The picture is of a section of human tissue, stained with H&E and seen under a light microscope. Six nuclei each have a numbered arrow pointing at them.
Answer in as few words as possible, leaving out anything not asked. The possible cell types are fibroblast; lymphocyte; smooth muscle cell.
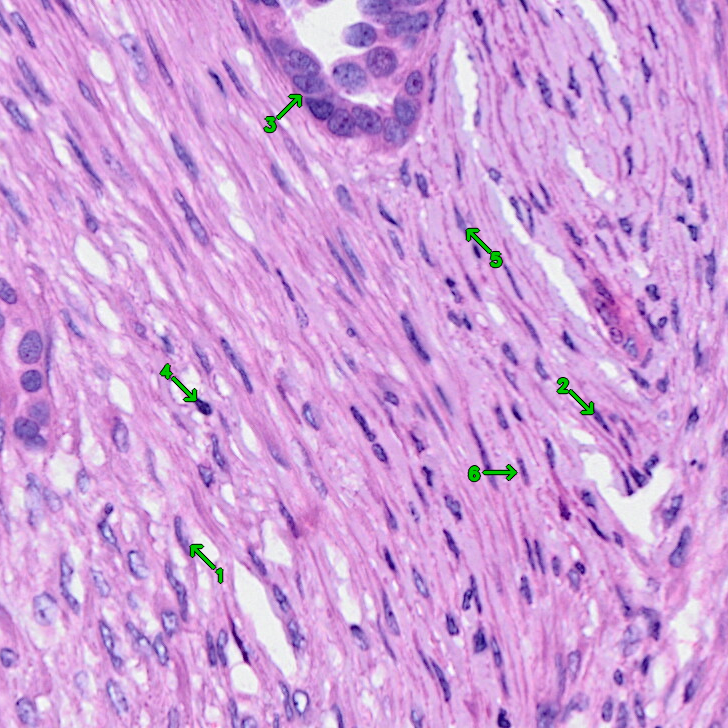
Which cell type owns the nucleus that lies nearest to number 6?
fibroblast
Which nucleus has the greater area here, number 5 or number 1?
1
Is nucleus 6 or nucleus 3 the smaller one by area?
6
